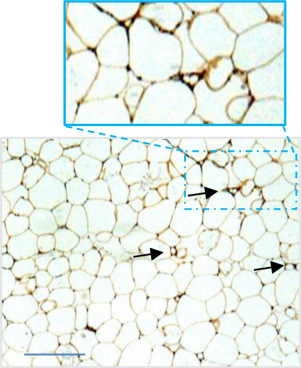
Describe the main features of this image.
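The fat cells are rounded to polygonal, and their interiors look empty and clear. Only thin brown-lined rims separate neighbouring fat cells, giving the tissue a honeycomb look. Small, darkly brown-stained cells sit in the narrow spaces where several fat cells meet, and some of these gather around a fat cell. An enlarged view above shows these brown cells wrapping along the borders of the fat cells.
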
